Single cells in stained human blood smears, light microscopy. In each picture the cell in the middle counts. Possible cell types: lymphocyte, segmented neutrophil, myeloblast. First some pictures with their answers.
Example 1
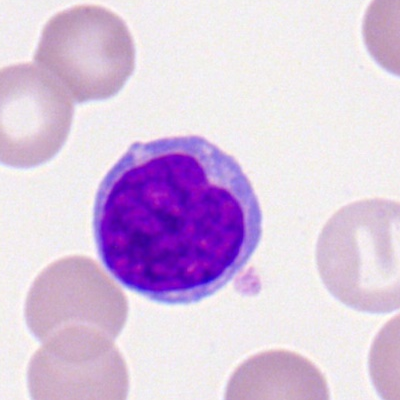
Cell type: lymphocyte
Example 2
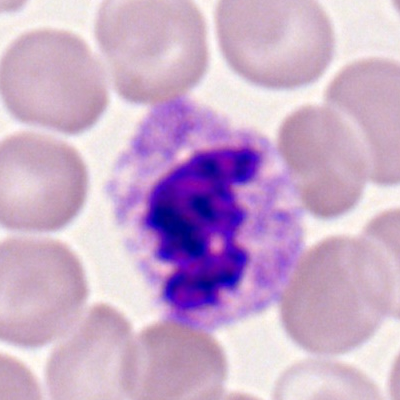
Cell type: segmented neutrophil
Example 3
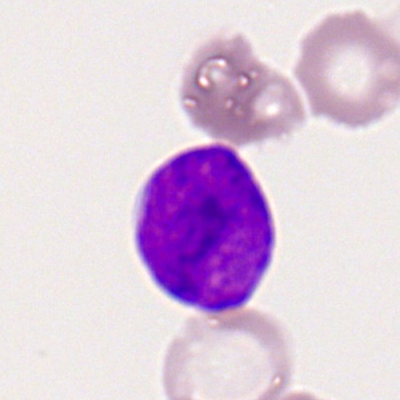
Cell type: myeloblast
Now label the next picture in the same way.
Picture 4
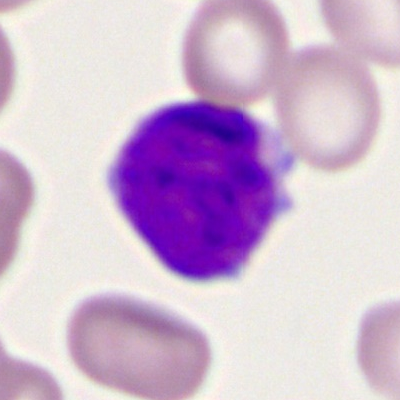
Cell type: myeloblast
